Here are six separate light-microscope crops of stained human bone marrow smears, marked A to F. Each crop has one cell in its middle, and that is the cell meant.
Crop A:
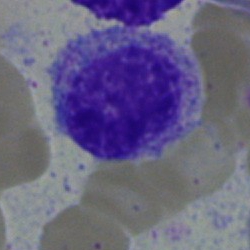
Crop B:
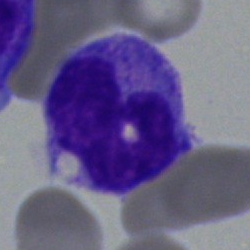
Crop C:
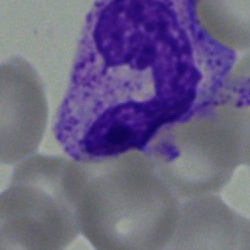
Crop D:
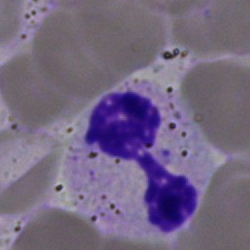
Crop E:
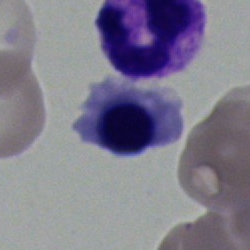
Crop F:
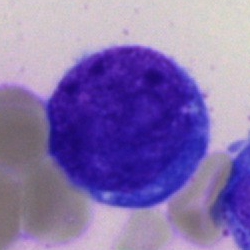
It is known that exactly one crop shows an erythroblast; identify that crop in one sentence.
The one showing an erythroblast is crop E.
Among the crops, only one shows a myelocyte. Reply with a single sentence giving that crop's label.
Among the crops provided, a myelocyte occupies the center of crop A.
